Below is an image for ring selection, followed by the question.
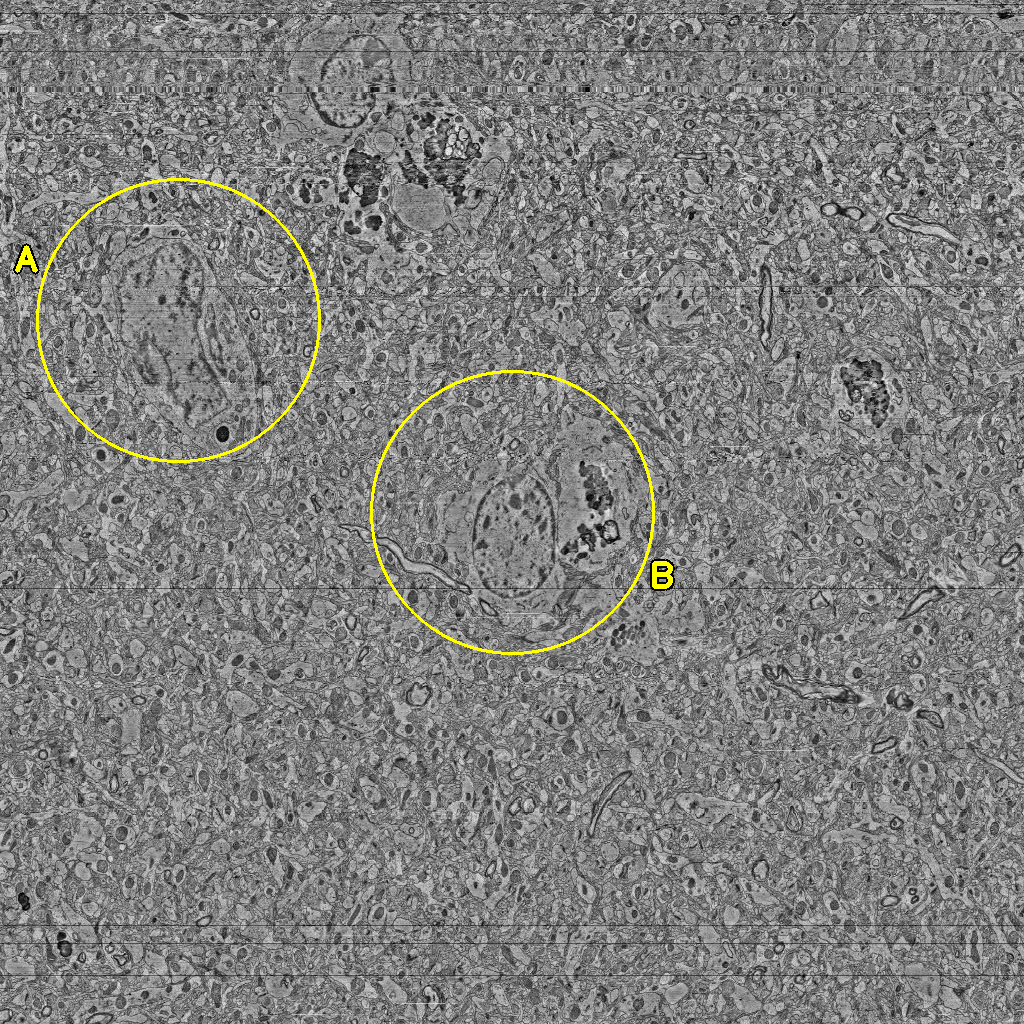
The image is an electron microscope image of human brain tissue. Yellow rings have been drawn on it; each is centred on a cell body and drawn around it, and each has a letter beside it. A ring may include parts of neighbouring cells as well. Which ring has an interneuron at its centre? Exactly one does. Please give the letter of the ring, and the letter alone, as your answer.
A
